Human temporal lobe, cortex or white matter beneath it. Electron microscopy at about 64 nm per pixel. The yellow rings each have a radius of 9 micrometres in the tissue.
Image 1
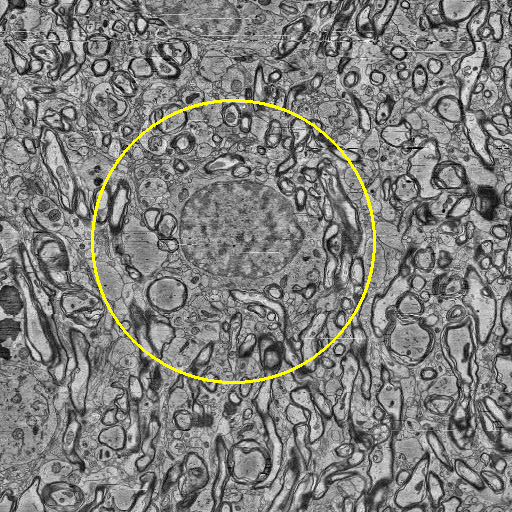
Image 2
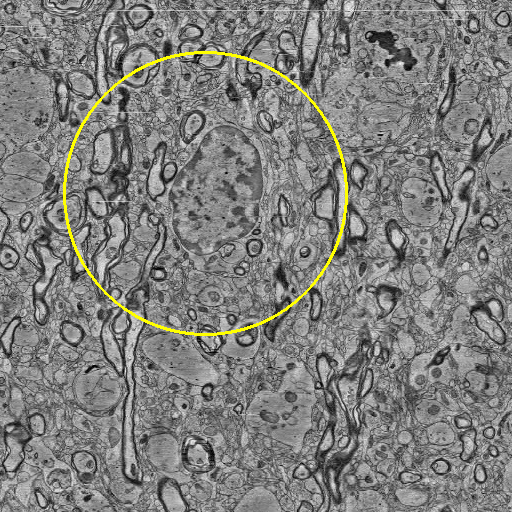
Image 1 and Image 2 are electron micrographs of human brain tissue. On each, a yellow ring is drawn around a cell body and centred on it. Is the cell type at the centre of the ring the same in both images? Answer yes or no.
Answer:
no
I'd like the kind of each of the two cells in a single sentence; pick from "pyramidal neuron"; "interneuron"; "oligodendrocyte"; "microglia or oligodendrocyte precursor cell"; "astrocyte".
The first ring marks an oligodendrocyte, and the second ring marks a microglial cell or oligodendrocyte precursor cell.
